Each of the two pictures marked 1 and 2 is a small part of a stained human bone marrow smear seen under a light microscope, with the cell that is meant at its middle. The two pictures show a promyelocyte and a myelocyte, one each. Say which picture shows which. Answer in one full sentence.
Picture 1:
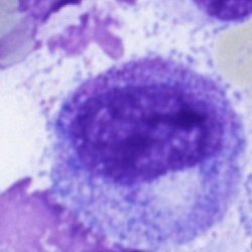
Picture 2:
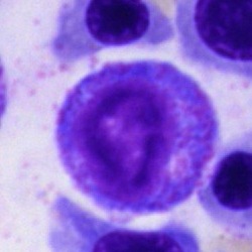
Picture 1 shows a myelocyte and picture 2 shows a promyelocyte.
